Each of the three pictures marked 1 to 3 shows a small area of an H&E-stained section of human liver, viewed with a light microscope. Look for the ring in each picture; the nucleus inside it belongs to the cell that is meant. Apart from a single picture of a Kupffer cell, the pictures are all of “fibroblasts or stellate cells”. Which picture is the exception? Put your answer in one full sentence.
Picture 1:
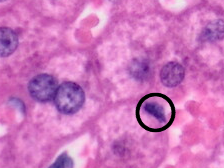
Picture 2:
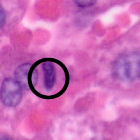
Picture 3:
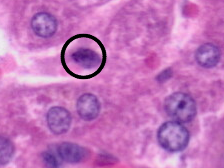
The cell in picture 3 is the Kupffer cell.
